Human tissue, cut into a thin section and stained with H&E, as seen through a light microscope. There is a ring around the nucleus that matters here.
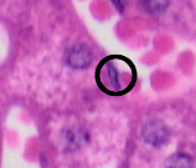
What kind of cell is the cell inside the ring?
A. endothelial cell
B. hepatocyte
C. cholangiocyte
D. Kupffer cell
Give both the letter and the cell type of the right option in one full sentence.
The correct option is A, as the cell inside the ring is an endothelial cell.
